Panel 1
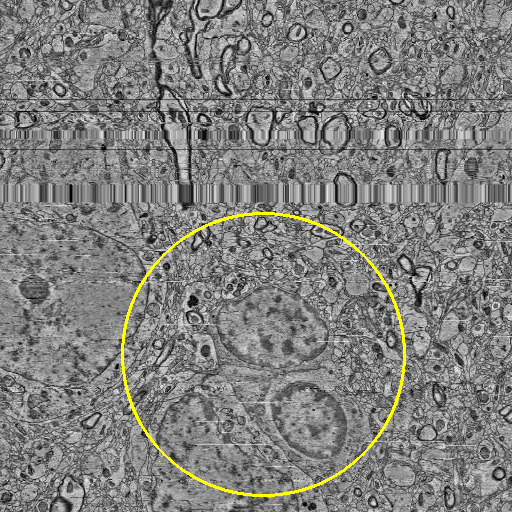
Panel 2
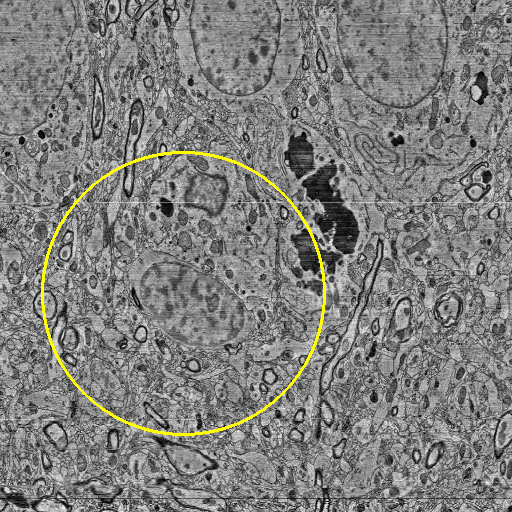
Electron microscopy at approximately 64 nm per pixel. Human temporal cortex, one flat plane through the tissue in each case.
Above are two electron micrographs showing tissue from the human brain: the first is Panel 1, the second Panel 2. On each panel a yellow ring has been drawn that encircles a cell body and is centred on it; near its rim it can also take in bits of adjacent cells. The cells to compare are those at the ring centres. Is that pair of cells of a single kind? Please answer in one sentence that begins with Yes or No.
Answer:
Yes, the ring-centred cells of Panel 1 and Panel 2 belong to one kind.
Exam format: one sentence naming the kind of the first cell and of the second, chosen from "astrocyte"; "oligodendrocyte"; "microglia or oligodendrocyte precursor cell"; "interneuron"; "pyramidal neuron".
Each of the two cells is an oligodendrocyte.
